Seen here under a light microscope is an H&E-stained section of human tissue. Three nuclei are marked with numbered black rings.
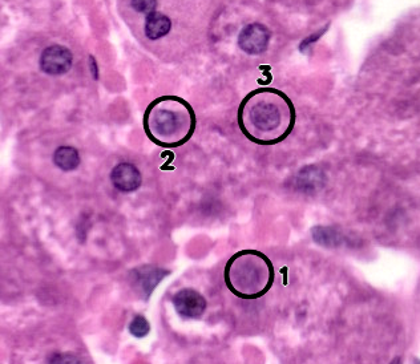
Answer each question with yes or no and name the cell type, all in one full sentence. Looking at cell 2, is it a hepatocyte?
No, the cell given number 2 is a Kupffer cell, as opposed to a hepatocyte.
